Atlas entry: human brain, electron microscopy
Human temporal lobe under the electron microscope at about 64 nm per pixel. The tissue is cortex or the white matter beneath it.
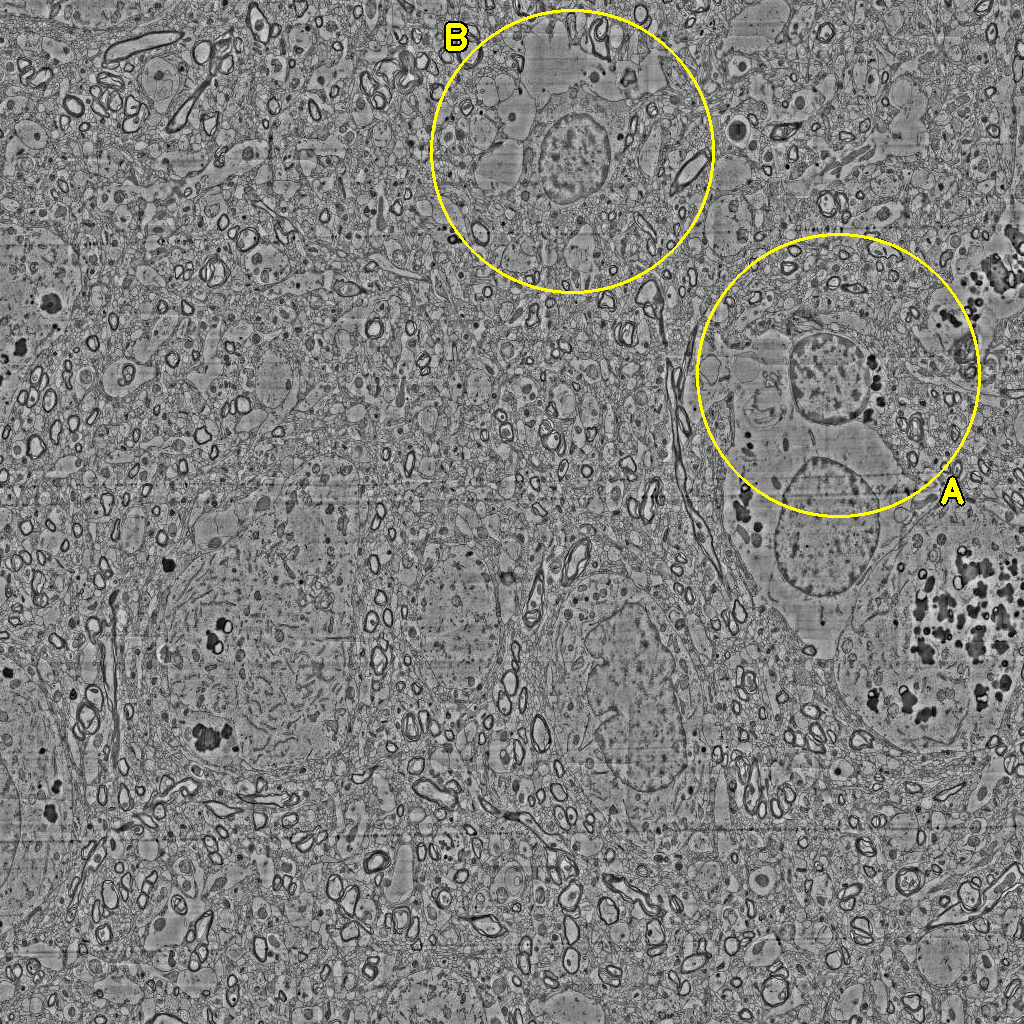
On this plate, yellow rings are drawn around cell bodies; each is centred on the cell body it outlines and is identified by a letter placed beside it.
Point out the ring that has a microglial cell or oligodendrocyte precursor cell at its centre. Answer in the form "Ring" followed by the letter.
Ring A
